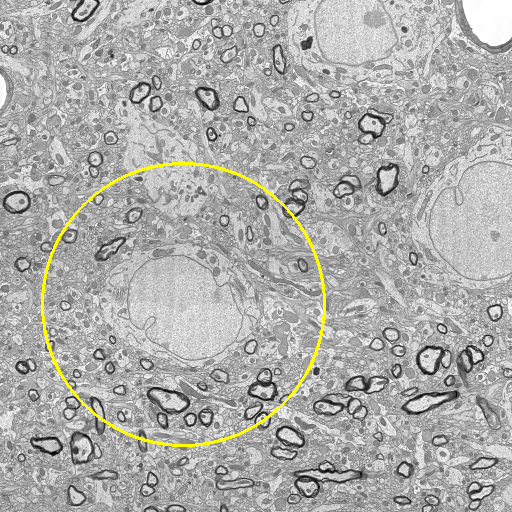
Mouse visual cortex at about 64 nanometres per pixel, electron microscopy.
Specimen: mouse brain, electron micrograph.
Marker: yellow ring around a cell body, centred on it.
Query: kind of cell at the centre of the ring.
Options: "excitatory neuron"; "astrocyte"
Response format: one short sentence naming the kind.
This cell body belongs to an excitatory neuron.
